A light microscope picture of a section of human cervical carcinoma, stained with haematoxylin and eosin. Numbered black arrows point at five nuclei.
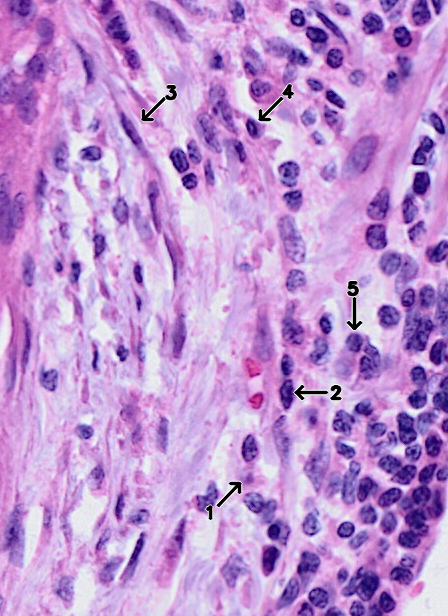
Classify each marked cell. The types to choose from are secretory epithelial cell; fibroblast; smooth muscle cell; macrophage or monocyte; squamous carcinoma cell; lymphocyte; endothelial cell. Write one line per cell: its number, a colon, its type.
1: macrophage or monocyte
2: lymphocyte
3: fibroblast
4: lymphocyte
5: lymphocyte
